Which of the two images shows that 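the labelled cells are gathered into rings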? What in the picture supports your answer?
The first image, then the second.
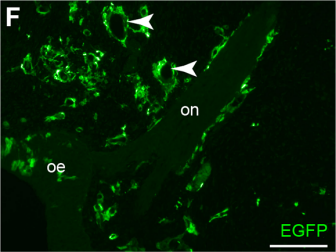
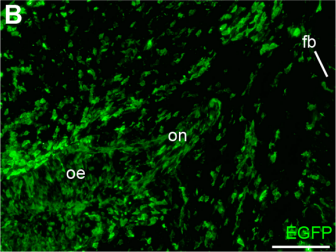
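First image: green cells form closed circular groups around empty centres. The answer: the first image.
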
